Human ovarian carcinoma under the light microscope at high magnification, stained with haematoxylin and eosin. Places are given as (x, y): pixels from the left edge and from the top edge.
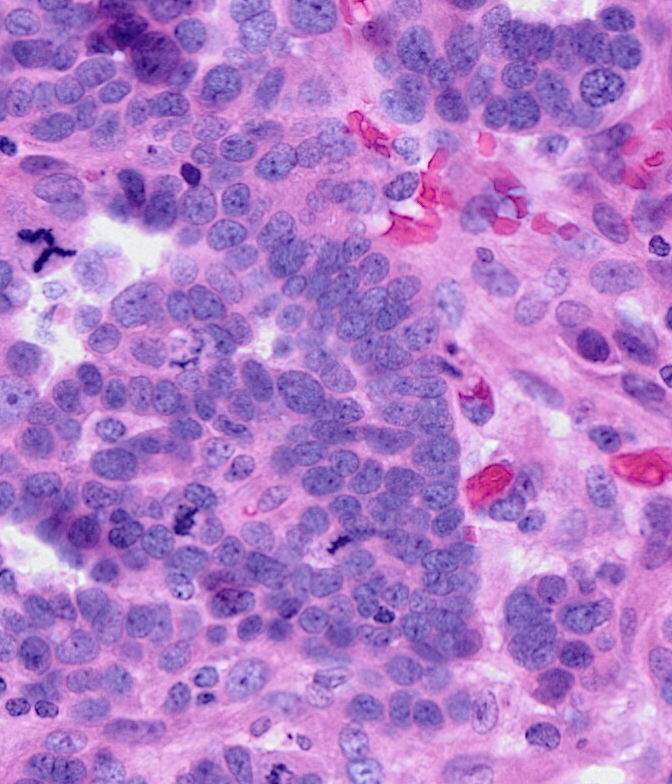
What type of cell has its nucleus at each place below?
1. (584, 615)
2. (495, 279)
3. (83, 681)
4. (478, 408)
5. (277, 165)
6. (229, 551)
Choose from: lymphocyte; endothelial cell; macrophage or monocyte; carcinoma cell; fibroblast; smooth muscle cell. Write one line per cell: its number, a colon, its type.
1: carcinoma cell
2: fibroblast
3: carcinoma cell
4: endothelial cell
5: carcinoma cell
6: carcinoma cell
